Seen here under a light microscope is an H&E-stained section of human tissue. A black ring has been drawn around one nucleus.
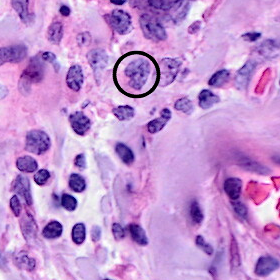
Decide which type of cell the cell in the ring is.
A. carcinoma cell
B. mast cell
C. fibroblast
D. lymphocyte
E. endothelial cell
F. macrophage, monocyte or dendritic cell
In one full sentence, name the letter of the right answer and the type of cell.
Among the choices, option F is correct, the cell in the ring being a macrophage, monocyte or dendritic cell.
